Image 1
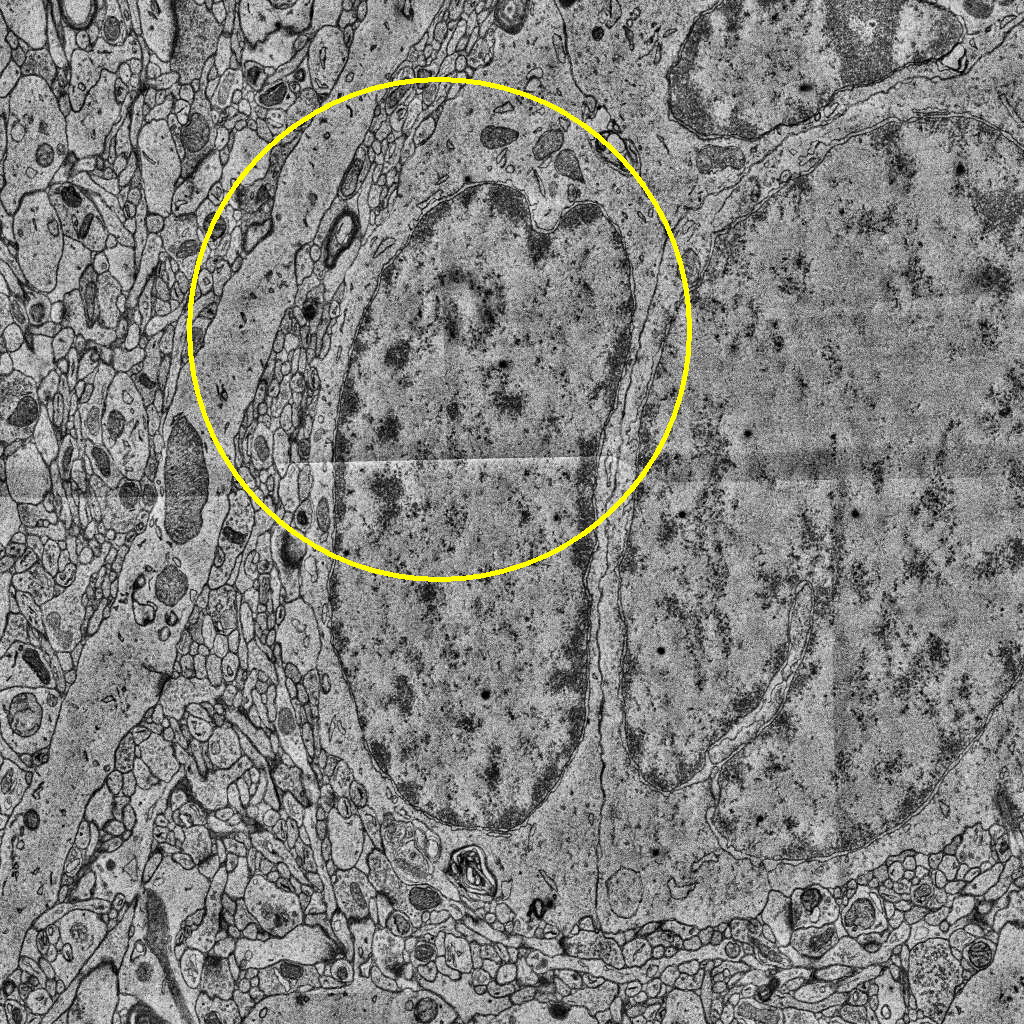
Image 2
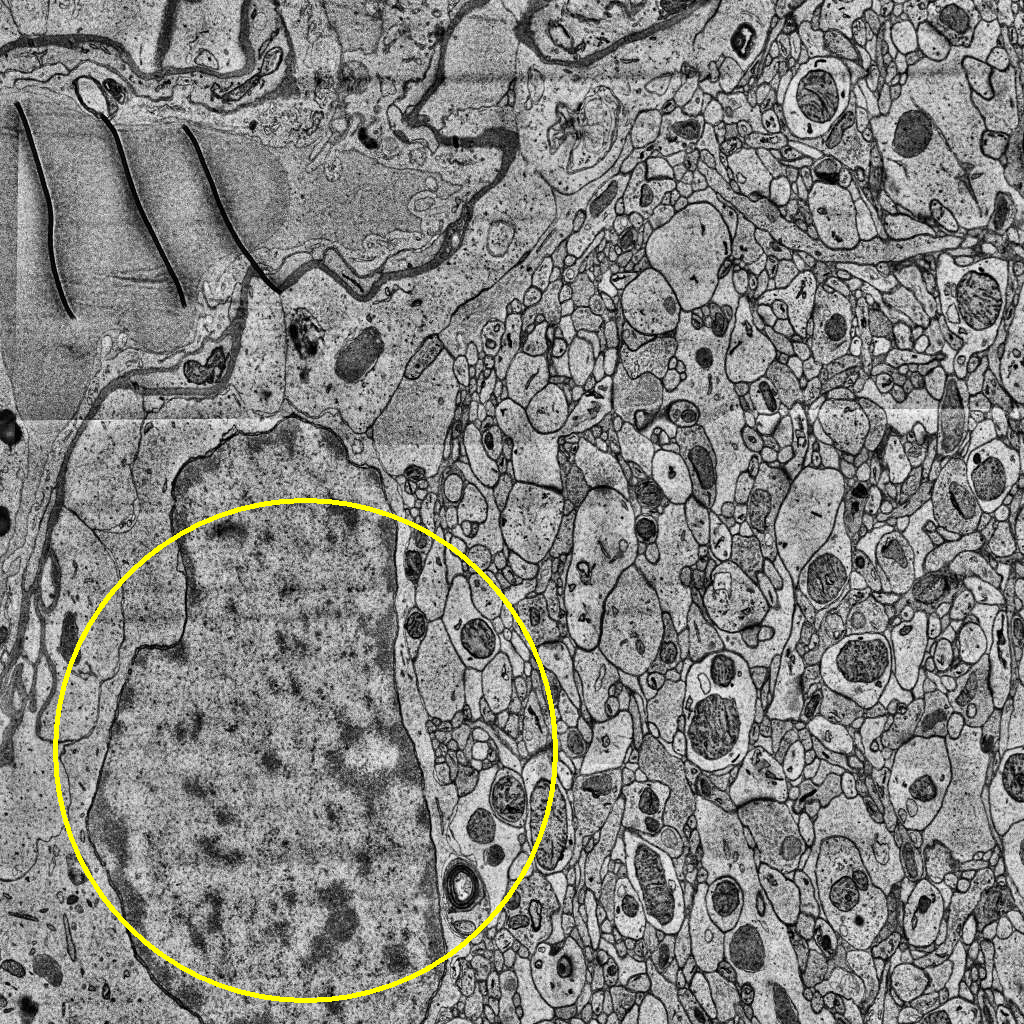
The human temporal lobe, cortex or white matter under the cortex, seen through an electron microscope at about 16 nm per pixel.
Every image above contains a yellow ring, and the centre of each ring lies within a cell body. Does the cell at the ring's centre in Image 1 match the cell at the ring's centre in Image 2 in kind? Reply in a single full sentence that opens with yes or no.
Yes, the cell at the ring's centre in Image 1 is the same kind as that in Image 2.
